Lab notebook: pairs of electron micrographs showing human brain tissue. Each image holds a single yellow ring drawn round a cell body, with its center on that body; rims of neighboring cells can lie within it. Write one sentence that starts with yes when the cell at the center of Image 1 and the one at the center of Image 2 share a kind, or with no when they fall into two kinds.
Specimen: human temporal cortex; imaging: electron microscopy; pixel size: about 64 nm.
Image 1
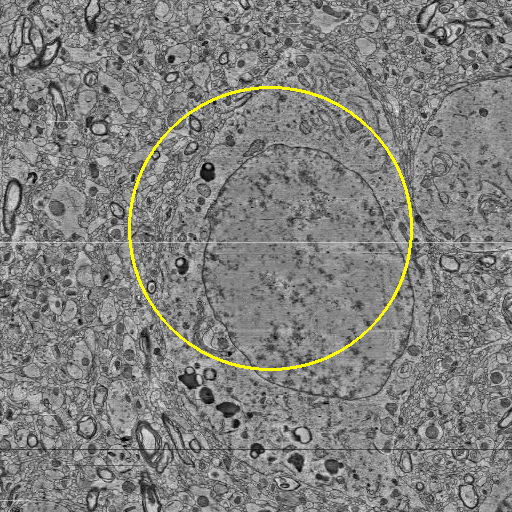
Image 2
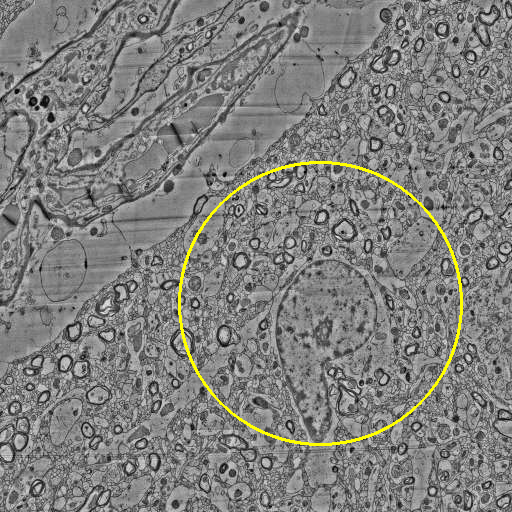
No, the centered cell in Image 1 and the centered cell in Image 2 are of two kinds.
